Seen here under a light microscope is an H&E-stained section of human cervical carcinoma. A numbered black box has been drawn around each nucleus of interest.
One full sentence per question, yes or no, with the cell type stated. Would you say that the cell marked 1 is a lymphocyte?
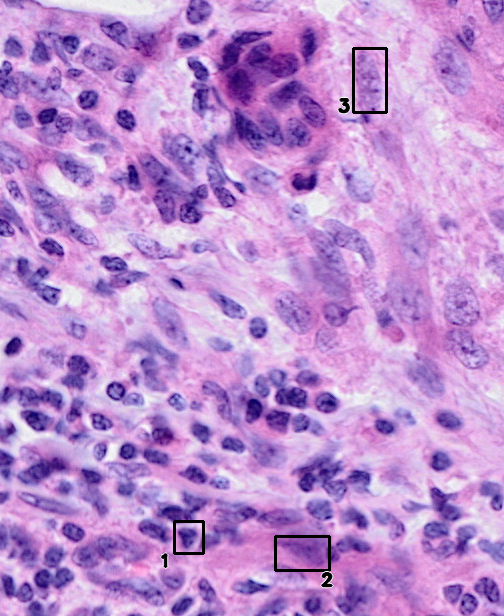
Yes, number 1 is assigned to a cell that is a lymphocyte.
